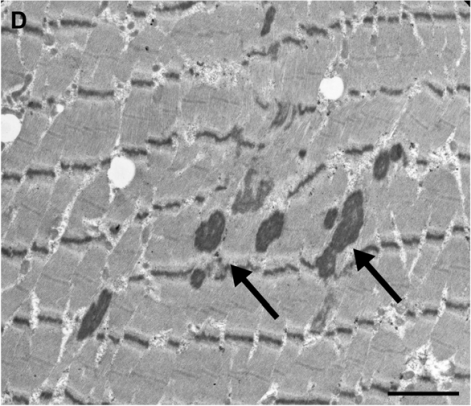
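This electron micrograph shows a muscle fiber in longitudinal section, with myofibrils running diagonally and regular dark transverse Z-lines marking the sarcomeres. Scattered among the myofibrils are several dark, oval to elongated, electron-dense bodies, clearly denser than the surrounding contractile material and often lying close to or in line with the Z-lines. These are nemaline rods within the sarcoplasm. Pale spaces and small round clear vacuole-like profiles appear between myofibrils, and the banding pattern is somewhat irregular around the rods.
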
